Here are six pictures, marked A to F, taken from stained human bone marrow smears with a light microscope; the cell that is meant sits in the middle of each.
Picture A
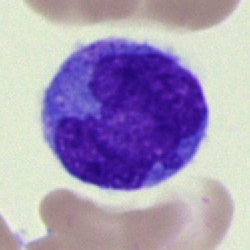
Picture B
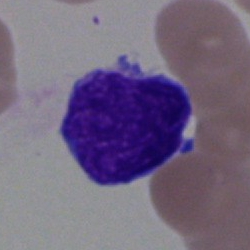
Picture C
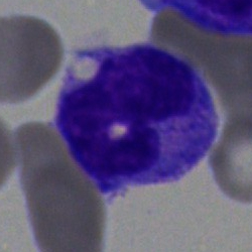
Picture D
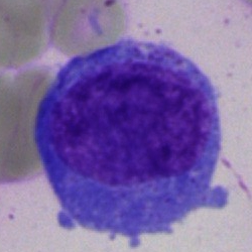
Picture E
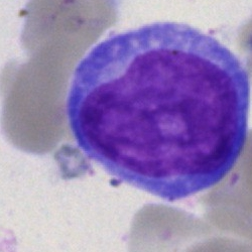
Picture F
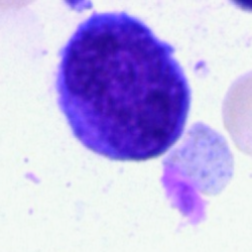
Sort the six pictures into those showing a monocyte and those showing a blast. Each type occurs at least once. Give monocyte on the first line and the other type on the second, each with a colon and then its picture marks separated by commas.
monocyte: A, C
blast: B, D, E, F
